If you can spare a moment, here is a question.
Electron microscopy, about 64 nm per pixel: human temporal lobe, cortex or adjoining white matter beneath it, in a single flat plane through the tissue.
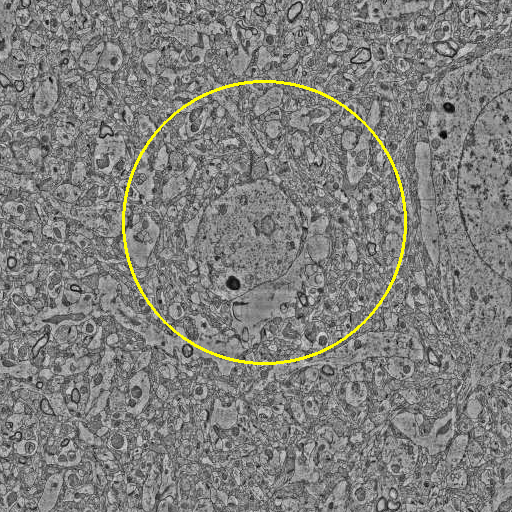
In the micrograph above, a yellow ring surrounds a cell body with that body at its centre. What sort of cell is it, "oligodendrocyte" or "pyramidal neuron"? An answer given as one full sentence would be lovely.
Centred inside the yellow ring, the cell body shown belongs to a pyramidal neuron in this micrograph.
